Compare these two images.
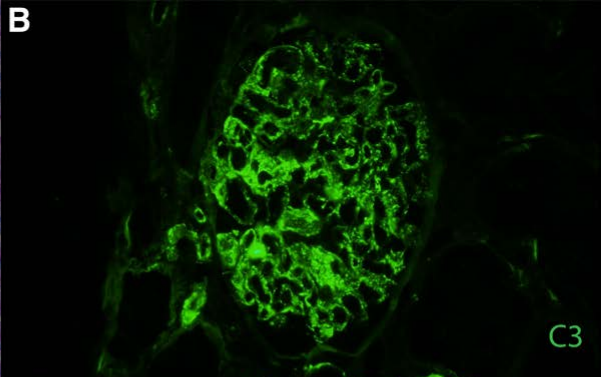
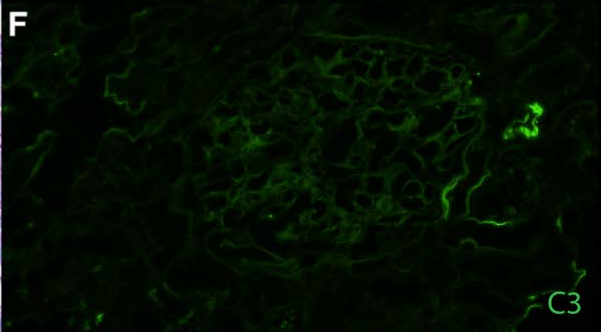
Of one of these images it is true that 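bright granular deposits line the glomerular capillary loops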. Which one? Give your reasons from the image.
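Second image: the glomerulus shows only faint diffuse background green without bright deposits. First image: strong bright green granular deposits outline capillary loops across the whole glomerulus. On this evidence: the first image.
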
